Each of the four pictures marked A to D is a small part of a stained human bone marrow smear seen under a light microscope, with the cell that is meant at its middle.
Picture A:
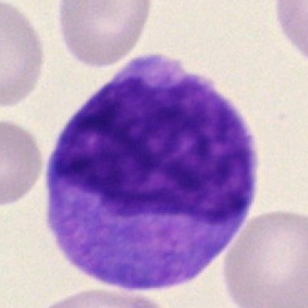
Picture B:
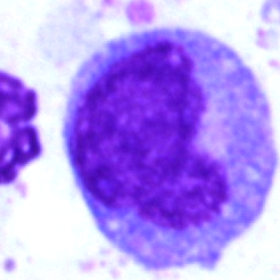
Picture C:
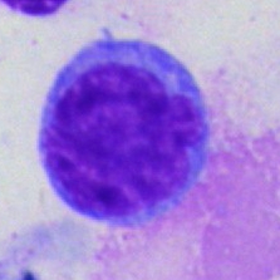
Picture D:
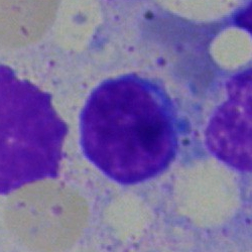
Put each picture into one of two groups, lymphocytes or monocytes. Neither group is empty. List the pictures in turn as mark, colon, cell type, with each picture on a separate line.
A: monocyte
B: monocyte
C: monocyte
D: lymphocyte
